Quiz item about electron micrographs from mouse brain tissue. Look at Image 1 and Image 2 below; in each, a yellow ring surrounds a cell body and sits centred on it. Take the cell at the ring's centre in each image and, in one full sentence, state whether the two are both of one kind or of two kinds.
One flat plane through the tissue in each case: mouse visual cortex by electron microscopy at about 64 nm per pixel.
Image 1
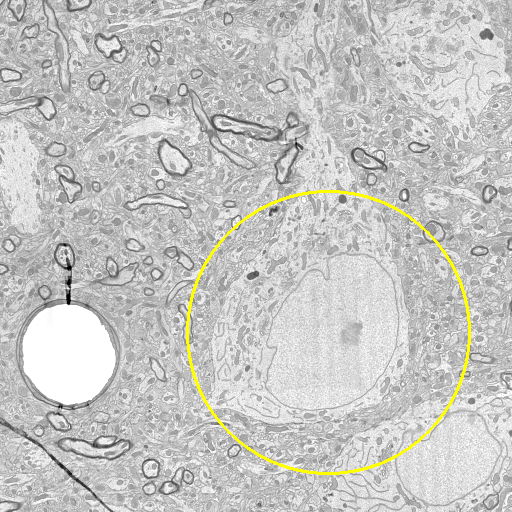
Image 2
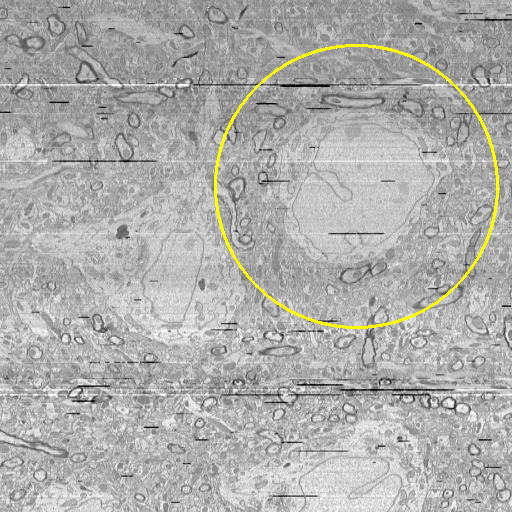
In Image 1 and Image 2, the cells at the ring centres are both of one kind.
